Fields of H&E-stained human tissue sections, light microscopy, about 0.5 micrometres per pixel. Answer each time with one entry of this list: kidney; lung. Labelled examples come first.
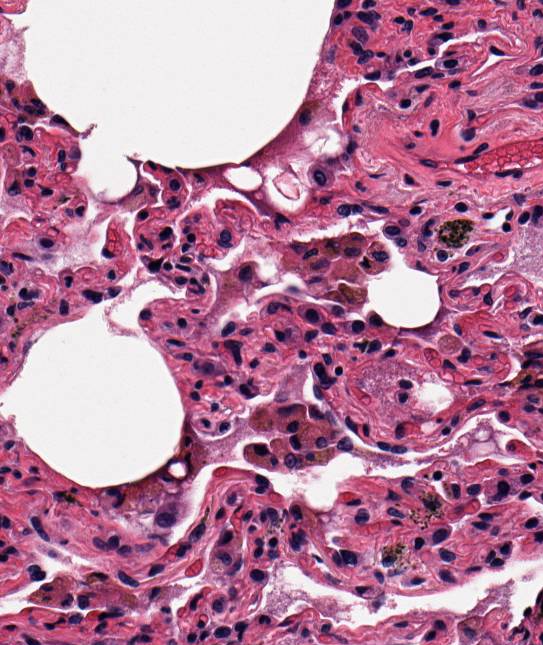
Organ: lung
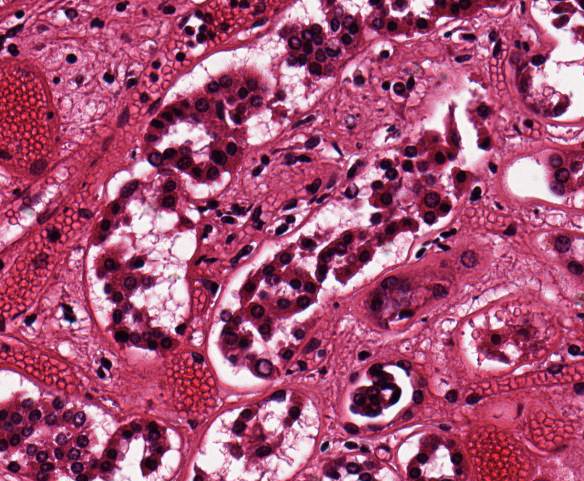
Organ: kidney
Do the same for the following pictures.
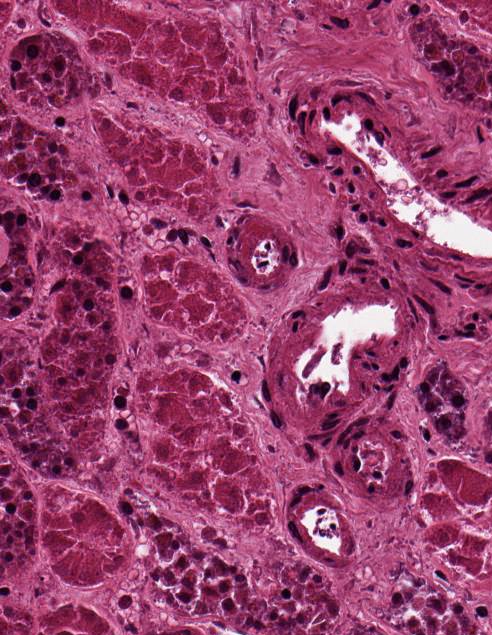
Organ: kidney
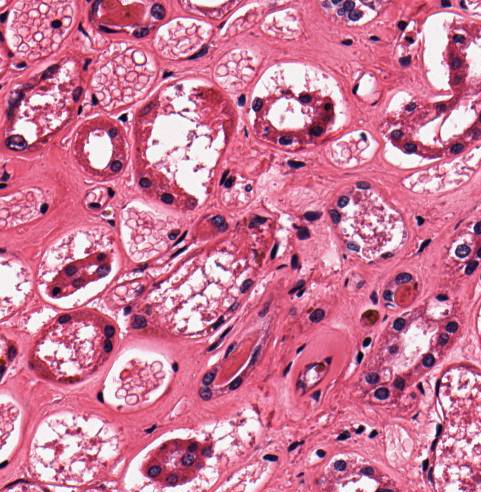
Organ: kidney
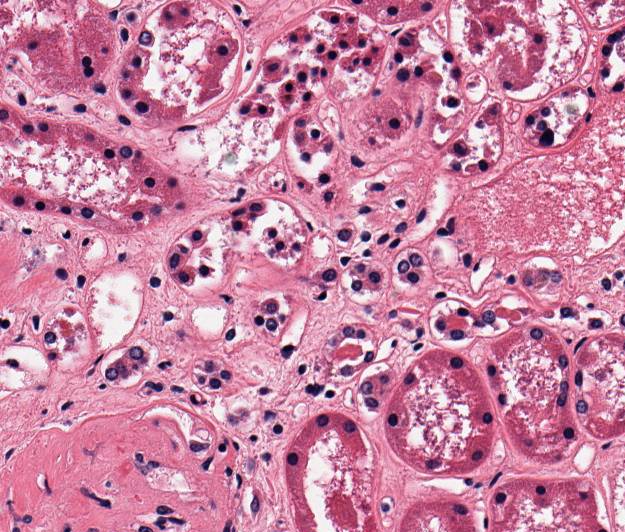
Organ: kidney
